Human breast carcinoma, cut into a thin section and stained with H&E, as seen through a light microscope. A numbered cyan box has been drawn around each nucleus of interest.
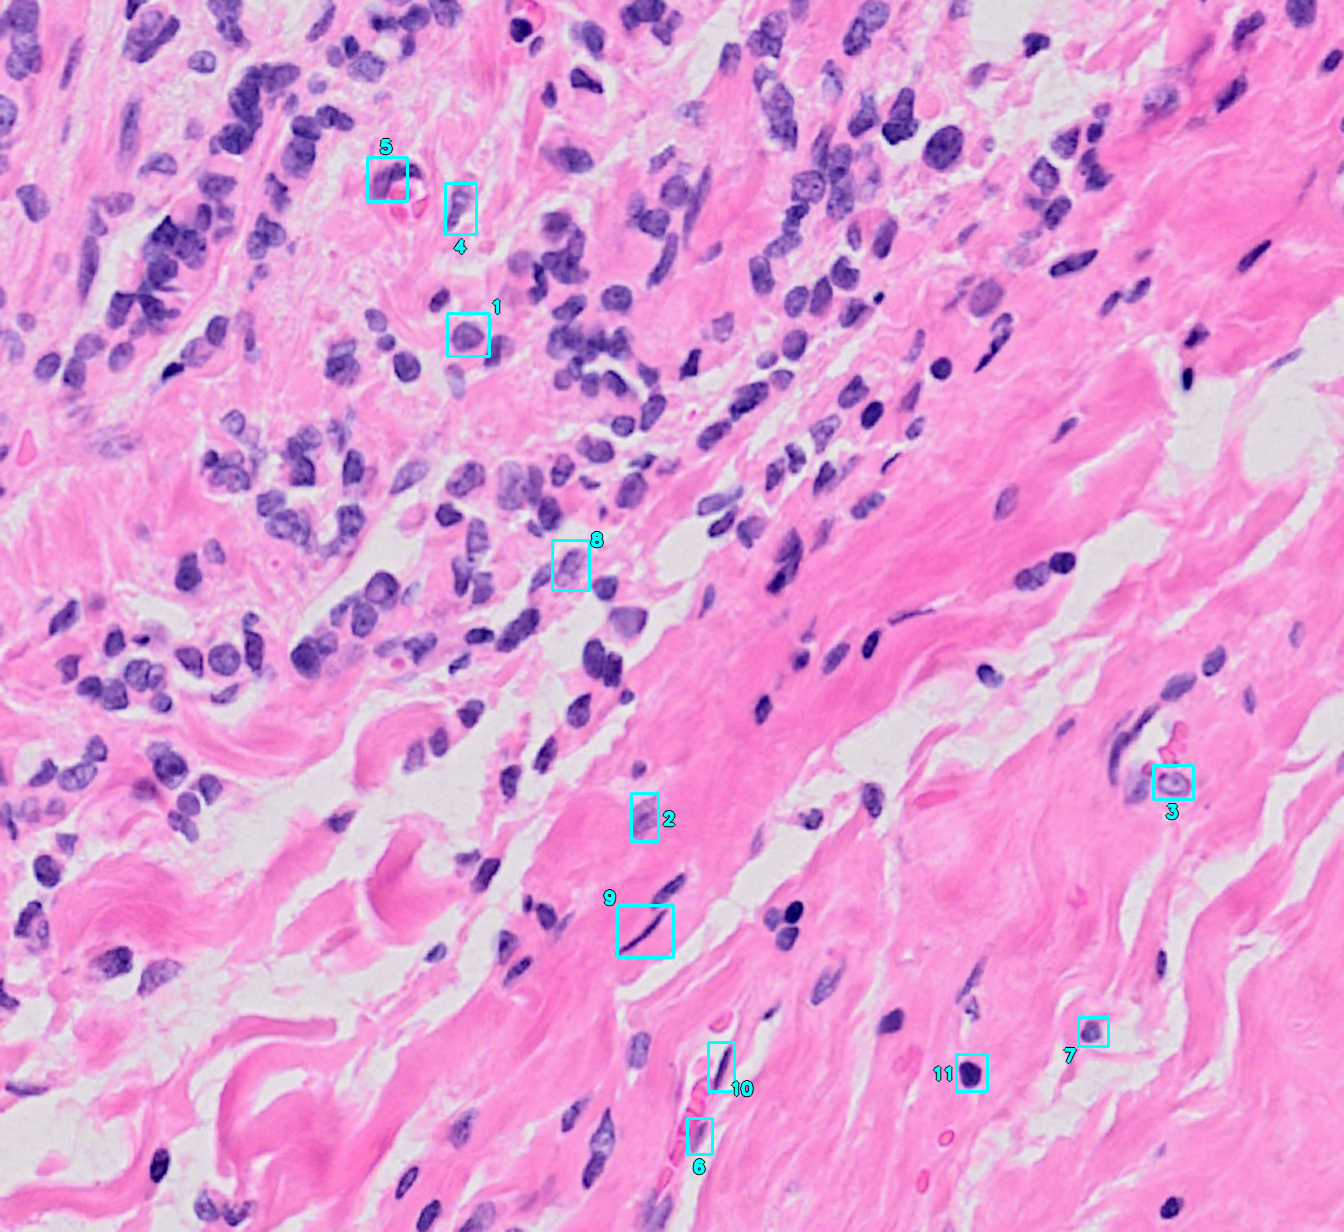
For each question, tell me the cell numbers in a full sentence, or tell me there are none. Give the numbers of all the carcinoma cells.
The cells identified by the numbers 1 and 8 are carcinoma cells.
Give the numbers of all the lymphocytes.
By cell type, the cells numbered 7 and 11 are lymphocytes.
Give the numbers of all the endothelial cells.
The cells carrying labels 3, 5, 6 and 10 are endothelial cells.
